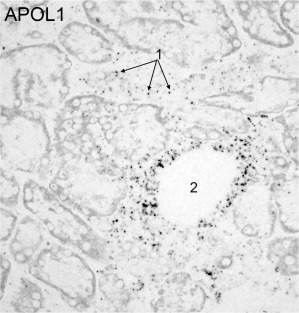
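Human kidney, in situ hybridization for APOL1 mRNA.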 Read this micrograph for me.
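Dark grains are packed in the wall around the vessel lumen, marking its lining cells. Scattered small dark dots lie in the thin spaces between tubules, where peritubular capillaries run. The tubular epithelia themselves, with their pale granular cytoplasm, carry few grains.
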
